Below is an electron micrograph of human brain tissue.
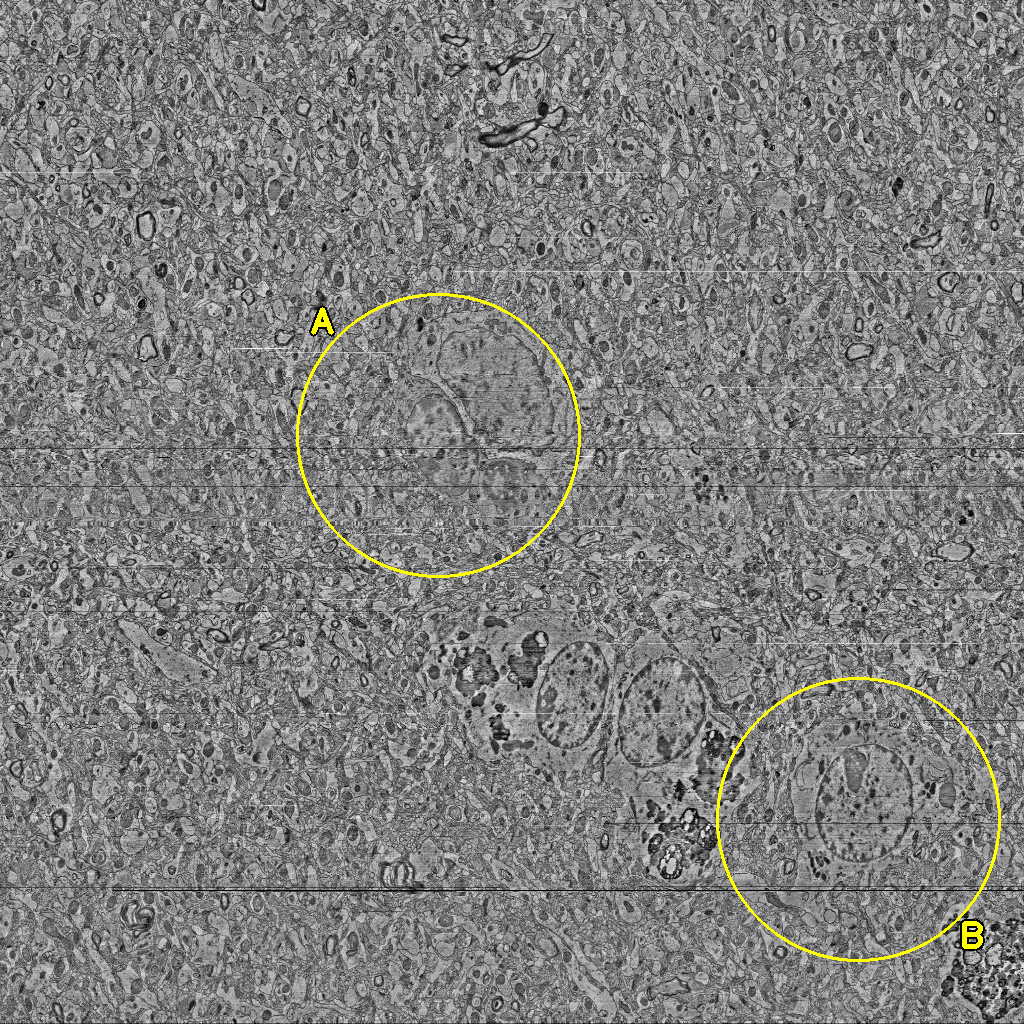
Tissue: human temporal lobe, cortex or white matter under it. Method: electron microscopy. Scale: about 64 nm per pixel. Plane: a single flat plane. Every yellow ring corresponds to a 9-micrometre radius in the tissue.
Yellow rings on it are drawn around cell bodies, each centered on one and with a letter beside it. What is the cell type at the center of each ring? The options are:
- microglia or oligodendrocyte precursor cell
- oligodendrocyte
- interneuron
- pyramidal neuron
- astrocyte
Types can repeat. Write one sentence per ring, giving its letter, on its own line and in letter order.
At the center of ring A is an oligodendrocyte.
At the center of ring B is an astrocyte.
